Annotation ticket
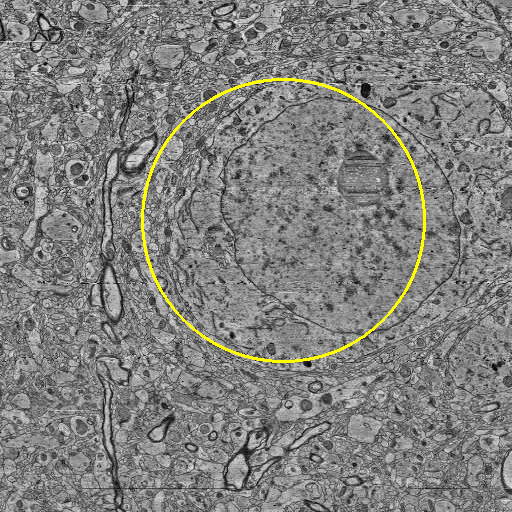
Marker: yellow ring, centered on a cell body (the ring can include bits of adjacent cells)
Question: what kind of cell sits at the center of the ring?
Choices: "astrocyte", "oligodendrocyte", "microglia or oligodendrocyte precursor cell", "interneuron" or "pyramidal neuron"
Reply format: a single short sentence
The ring is centered on a pyramidal neuron.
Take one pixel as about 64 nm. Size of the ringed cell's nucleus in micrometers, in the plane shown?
Approximately 16 micrometres across, in this plane.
